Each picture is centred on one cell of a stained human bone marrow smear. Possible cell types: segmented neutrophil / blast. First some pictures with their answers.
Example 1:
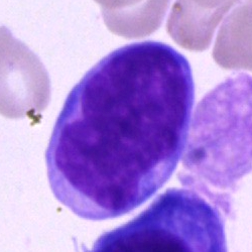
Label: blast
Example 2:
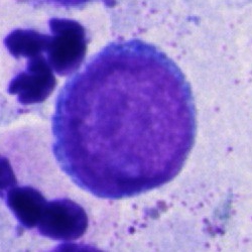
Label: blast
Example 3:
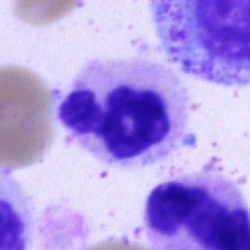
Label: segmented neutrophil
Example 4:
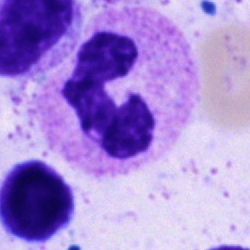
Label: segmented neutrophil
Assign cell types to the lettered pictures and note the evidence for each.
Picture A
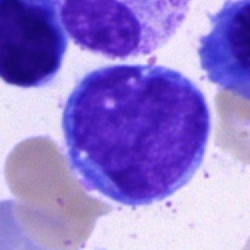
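blast: The nucleus fills most of the cell.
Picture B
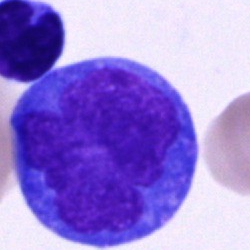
blast: The chromatin is fine and delicate rather than clumped.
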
